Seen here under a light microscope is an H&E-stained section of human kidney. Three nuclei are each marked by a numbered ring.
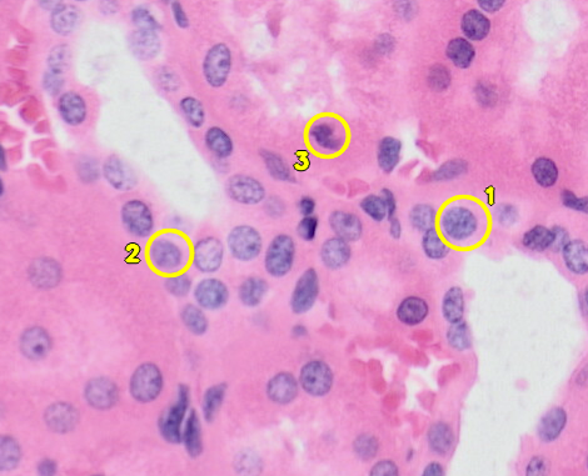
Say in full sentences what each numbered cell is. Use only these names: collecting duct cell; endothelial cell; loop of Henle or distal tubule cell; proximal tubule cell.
Cell 1 is a collecting duct cell, cell 2 is a collecting duct cell and cell 3 is a proximal tubule cell.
